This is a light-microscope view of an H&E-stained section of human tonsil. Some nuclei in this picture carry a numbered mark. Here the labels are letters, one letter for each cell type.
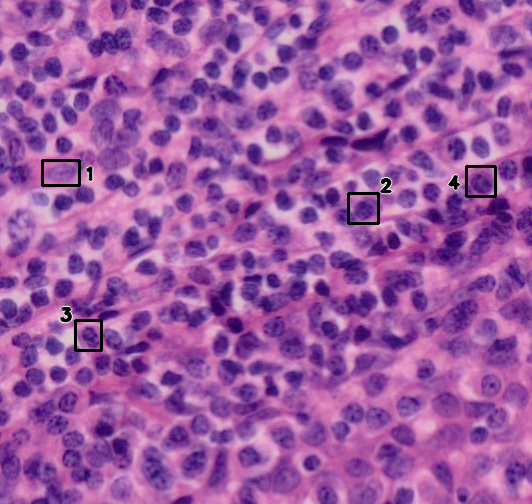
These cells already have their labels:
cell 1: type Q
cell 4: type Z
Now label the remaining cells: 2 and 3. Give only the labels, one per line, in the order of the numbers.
type Z
type Z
